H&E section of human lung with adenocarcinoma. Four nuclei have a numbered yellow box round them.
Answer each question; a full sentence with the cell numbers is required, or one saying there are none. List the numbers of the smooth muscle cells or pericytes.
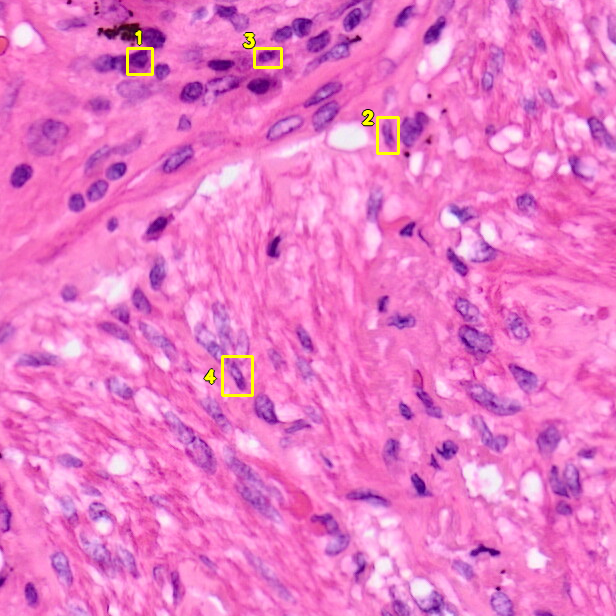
Among all the marked cells, a smooth muscle cell or pericyte is found only at number 4.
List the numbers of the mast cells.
Just one numbered cell is a mast cell, and that cell is number 2.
